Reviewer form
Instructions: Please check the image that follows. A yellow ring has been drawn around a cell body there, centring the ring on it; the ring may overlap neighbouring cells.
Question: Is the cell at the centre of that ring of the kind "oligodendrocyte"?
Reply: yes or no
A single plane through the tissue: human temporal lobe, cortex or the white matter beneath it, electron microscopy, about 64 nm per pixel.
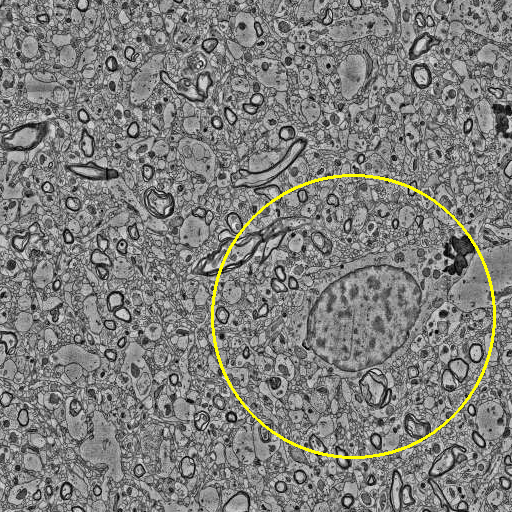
yes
